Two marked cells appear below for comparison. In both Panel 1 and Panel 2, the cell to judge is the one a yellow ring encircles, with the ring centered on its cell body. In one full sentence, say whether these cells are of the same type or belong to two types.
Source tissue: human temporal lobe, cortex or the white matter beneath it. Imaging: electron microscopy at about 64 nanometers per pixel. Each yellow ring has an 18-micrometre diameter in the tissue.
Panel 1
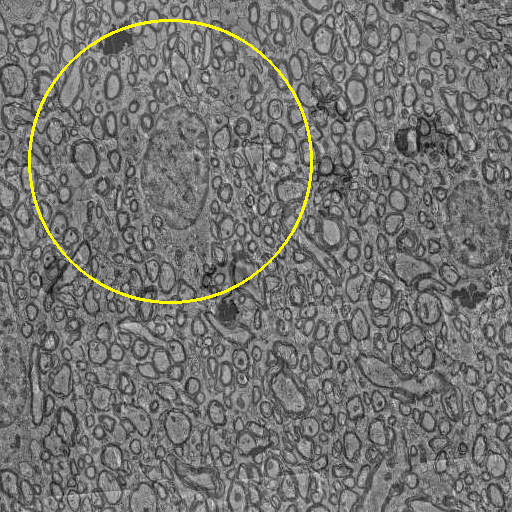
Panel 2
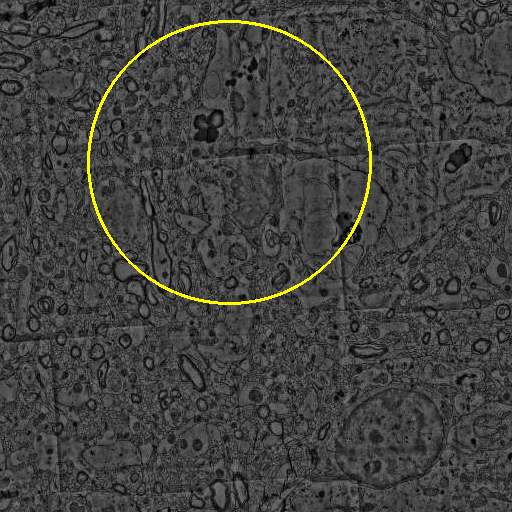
The cell centered in the Panel 1 ring and the one in Panel 2 are of the same type.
